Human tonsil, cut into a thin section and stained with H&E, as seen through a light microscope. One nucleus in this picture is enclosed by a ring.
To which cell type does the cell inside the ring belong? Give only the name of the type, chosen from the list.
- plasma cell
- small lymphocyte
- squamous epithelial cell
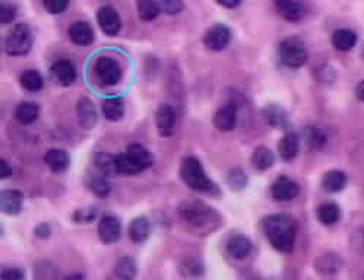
plasma cell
